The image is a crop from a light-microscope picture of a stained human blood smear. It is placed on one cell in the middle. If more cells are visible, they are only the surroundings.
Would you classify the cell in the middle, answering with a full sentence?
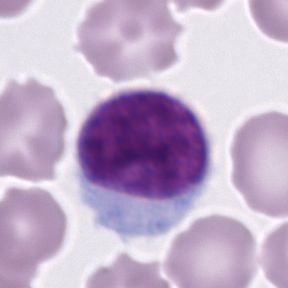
Classification of the middle cell gives a hairy cell.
